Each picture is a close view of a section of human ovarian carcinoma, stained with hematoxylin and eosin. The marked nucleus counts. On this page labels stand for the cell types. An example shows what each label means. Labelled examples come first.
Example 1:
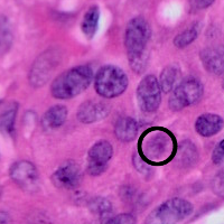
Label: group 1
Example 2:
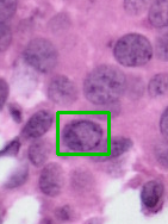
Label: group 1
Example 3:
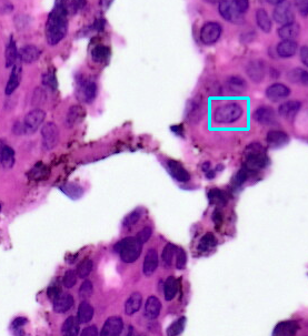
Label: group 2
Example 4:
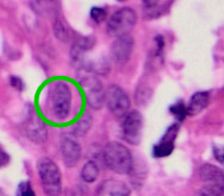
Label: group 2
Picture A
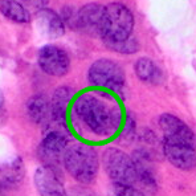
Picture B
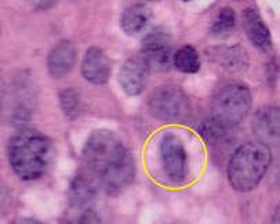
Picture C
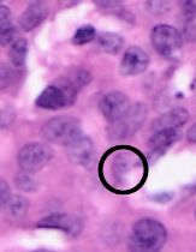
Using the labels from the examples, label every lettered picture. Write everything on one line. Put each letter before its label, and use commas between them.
A group 1, B group 2, C group 1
